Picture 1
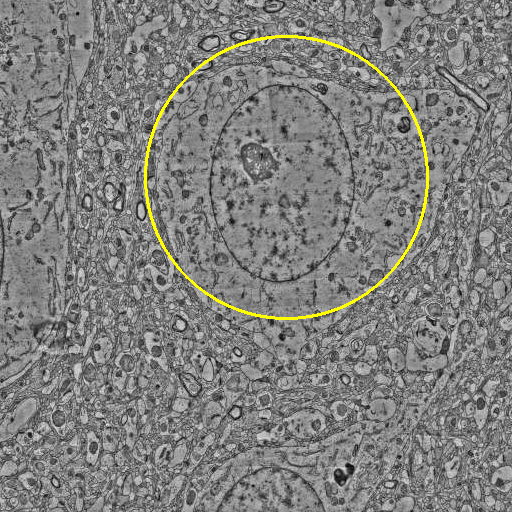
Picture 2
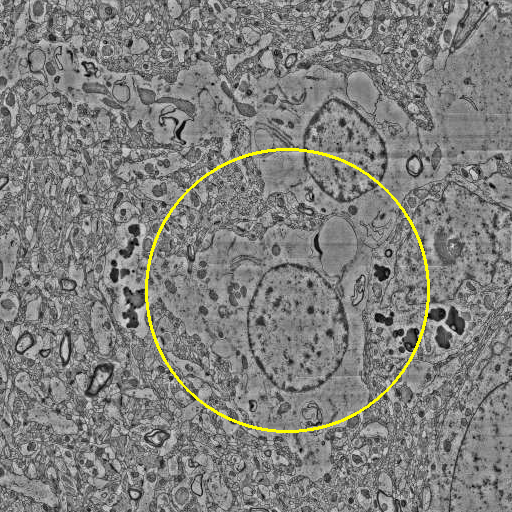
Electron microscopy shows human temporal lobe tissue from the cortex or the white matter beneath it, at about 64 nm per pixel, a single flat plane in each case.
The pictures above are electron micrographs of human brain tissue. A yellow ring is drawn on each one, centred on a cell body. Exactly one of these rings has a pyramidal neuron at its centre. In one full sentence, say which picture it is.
Picture 1 has it at the centre of its ring.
